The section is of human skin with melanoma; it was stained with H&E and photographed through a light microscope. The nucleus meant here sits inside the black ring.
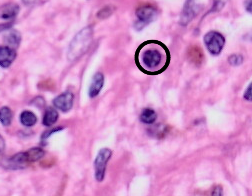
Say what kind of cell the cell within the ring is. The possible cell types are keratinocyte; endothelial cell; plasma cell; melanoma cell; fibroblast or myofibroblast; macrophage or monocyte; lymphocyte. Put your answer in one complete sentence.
As for its identity, the cell within the ring is a plasma cell.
